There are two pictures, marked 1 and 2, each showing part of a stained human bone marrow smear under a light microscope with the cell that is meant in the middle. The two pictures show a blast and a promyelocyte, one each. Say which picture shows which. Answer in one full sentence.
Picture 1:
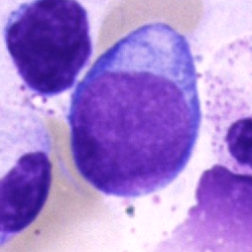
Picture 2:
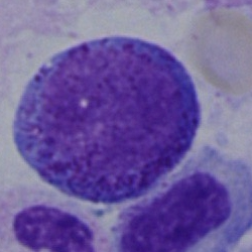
In picture 1 the cell is a blast; in picture 2, a promyelocyte.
